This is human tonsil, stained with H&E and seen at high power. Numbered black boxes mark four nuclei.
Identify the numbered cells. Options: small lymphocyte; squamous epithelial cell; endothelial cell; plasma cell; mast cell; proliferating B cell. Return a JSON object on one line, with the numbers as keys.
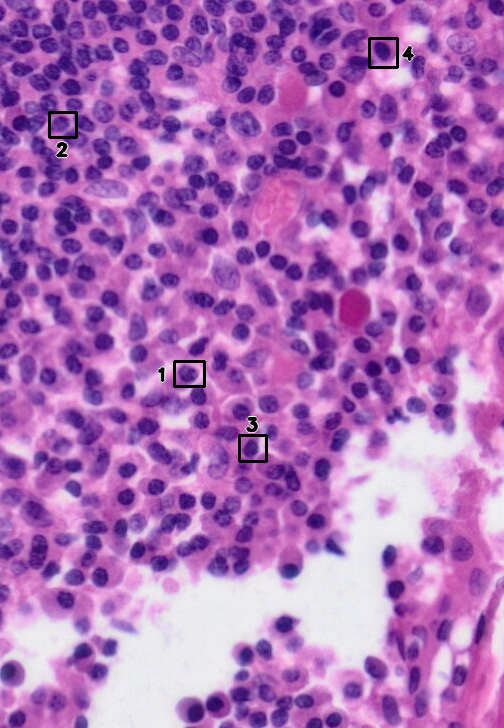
{"1": "plasma cell", "2": "small lymphocyte", "3": "plasma cell", "4": "plasma cell"}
